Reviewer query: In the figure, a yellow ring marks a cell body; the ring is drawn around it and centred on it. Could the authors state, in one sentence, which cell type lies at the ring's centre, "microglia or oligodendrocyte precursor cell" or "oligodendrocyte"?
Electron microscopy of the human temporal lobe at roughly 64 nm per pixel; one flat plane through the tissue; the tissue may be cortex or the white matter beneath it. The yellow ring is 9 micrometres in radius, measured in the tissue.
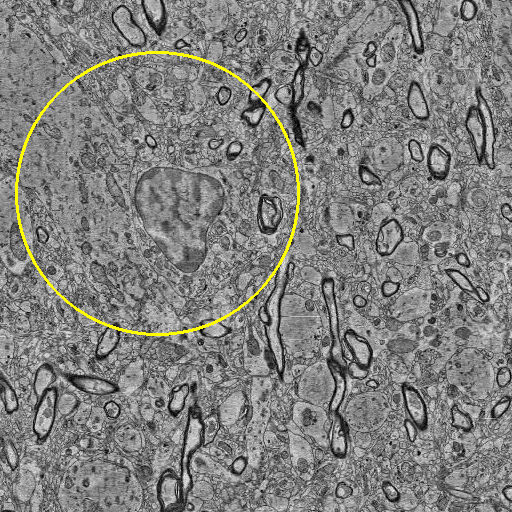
The ring is centred on a microglial cell or oligodendrocyte precursor cell.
